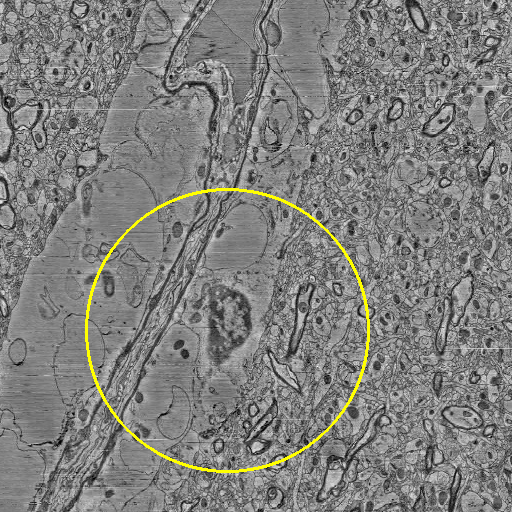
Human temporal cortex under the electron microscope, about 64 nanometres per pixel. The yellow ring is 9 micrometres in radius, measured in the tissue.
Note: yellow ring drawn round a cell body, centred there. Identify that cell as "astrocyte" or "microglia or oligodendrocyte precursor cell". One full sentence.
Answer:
The cell in the middle of the ring is a microglial cell or oligodendrocyte precursor cell.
